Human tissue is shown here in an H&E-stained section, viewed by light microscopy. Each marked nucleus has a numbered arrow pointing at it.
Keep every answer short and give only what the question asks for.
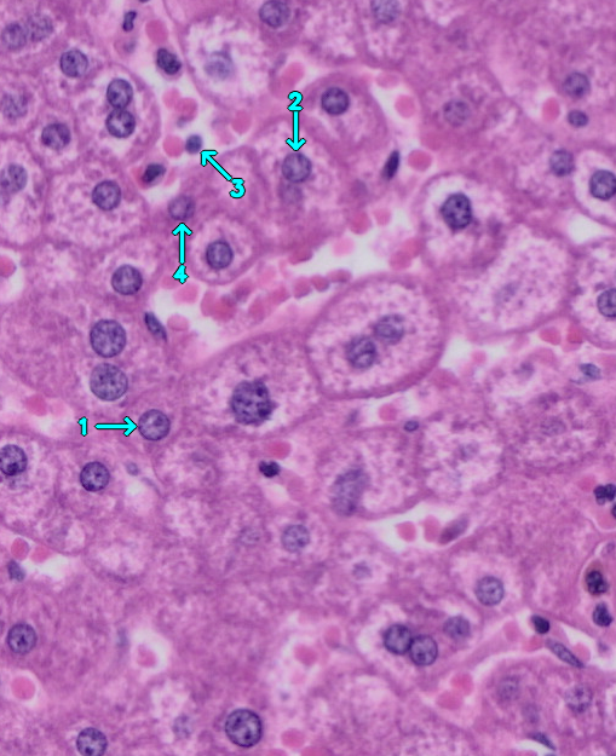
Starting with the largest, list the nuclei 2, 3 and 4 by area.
2, 4, 3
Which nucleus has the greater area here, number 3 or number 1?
1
